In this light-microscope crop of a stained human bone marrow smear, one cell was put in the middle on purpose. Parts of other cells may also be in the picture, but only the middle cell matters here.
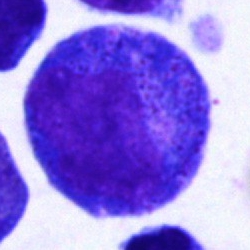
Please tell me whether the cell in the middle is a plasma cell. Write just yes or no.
no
